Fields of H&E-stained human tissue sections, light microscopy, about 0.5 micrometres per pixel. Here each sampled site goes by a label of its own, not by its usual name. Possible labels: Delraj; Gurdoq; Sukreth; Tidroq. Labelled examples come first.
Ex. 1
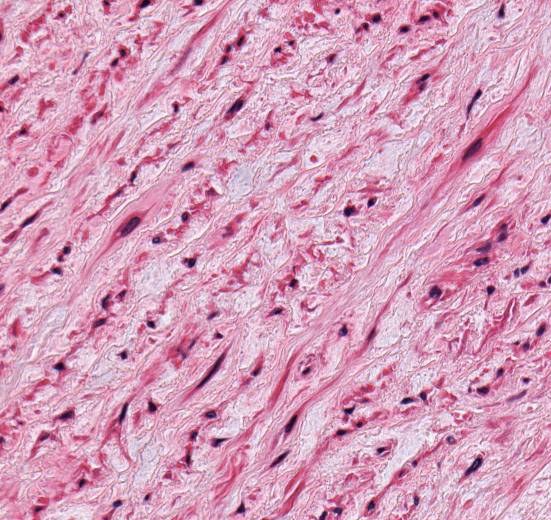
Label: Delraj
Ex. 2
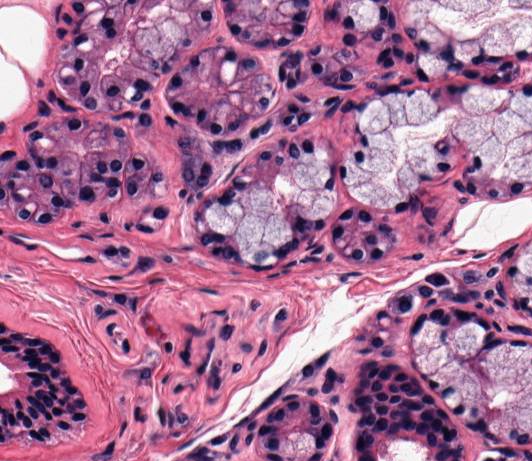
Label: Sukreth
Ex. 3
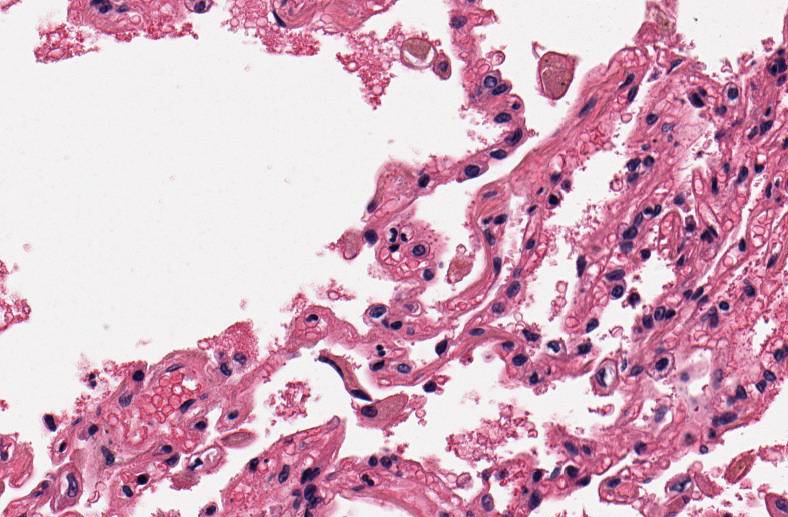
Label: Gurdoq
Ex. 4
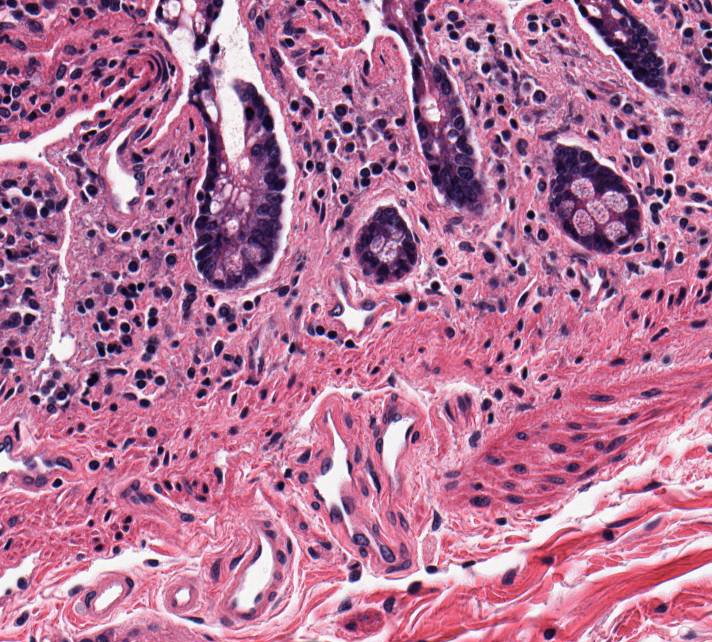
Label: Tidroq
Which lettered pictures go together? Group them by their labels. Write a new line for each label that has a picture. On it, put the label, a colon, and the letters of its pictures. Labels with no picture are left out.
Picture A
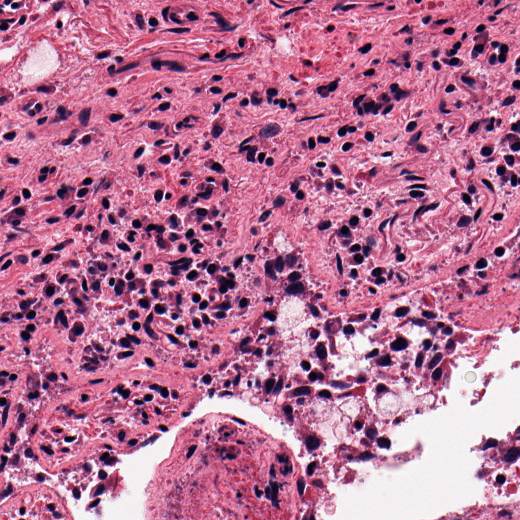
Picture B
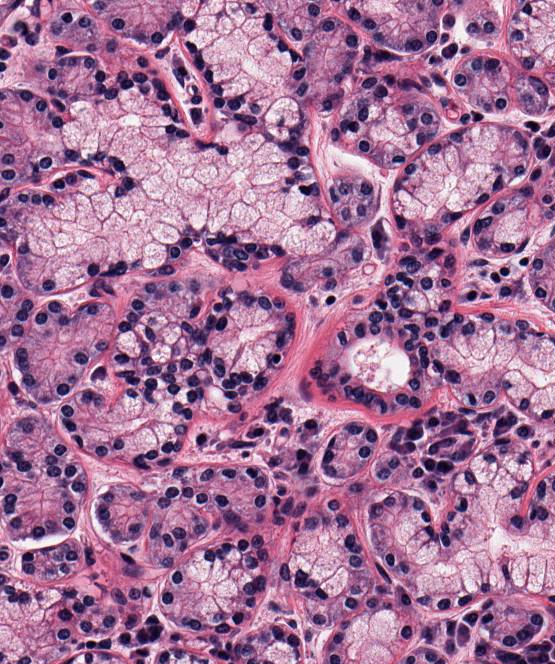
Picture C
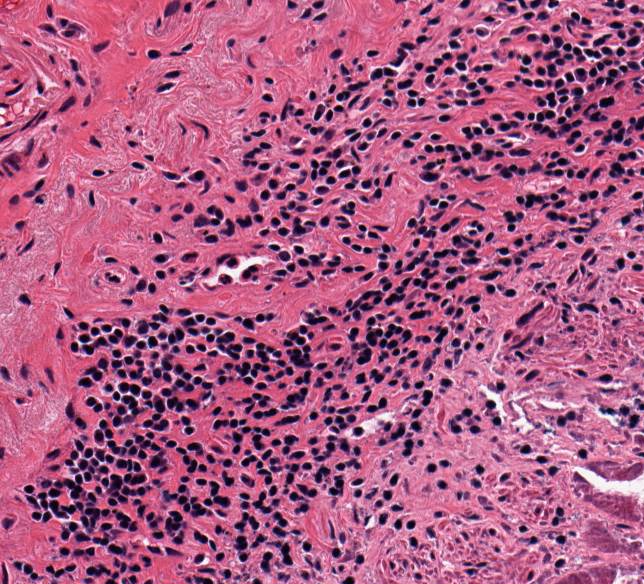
Sukreth: B
Tidroq: A, C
